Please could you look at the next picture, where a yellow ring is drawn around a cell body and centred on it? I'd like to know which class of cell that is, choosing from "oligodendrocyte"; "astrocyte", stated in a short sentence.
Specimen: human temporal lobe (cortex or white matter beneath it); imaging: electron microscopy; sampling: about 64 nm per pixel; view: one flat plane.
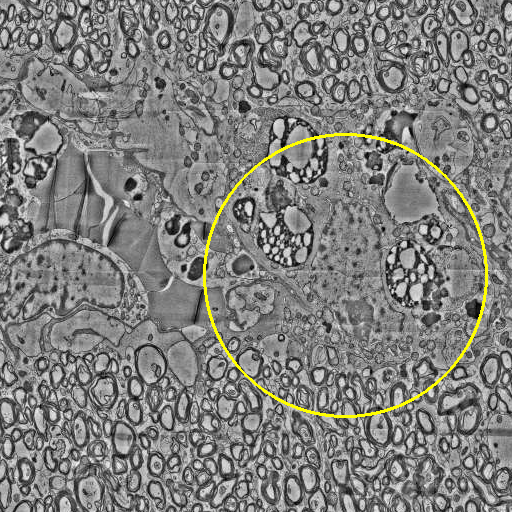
The ring's centre lies on an astrocyte.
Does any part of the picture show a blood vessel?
Yes, a blood vessel shows in the picture.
